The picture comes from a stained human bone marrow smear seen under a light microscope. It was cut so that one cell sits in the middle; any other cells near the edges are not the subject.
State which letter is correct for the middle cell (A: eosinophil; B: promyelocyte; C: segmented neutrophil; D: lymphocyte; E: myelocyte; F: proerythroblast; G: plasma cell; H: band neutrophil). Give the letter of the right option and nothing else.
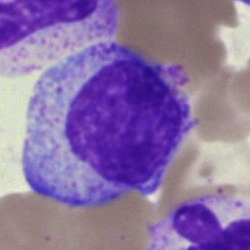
E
